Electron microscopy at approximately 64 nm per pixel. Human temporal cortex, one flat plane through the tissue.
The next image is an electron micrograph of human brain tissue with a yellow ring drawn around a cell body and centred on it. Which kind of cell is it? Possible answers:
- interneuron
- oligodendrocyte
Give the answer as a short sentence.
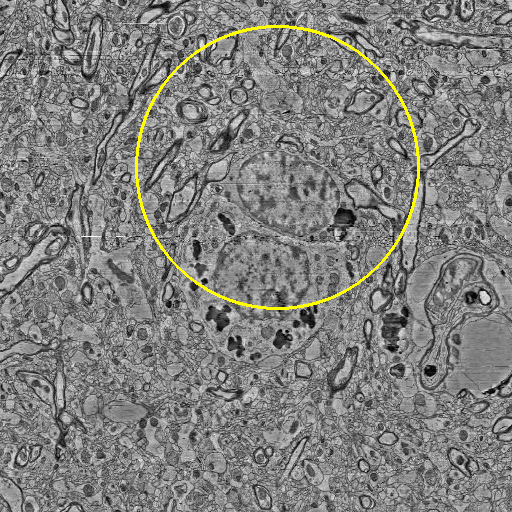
In the ring's centre is an oligodendrocyte.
